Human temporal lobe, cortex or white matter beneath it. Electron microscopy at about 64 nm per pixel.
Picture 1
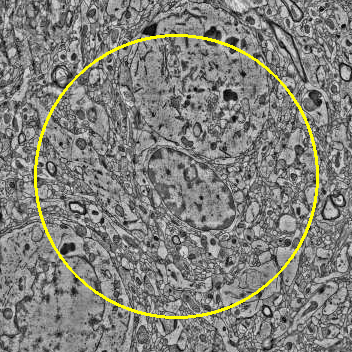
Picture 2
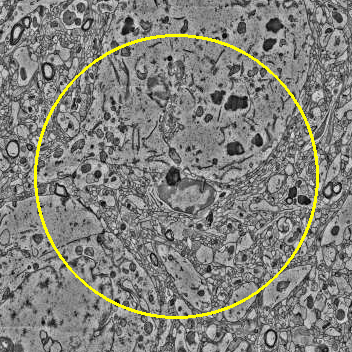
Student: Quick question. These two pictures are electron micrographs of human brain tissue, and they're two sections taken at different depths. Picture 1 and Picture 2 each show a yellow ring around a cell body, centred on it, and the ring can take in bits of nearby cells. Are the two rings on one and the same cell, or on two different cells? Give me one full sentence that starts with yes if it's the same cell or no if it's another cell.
Yes, the two marked outlines come from one and the same cell.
